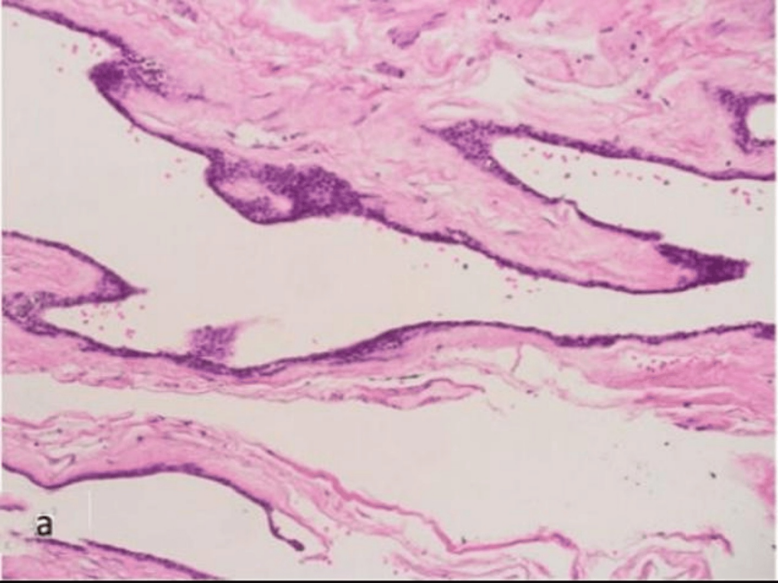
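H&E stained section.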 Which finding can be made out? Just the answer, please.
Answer: cystic lesion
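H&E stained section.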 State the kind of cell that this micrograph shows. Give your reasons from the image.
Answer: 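Low columnar cuboidal cells. The lining faces empty spaces.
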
